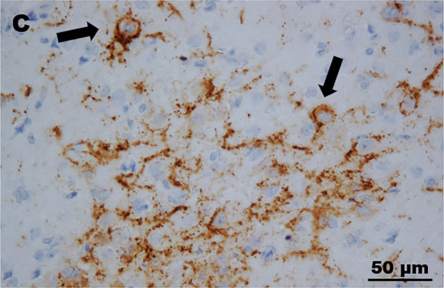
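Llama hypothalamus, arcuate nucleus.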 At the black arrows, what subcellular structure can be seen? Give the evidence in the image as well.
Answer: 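Each arrow points to a round outline stained brown around a pale centre. The outlined bodies are larger than the surrounding brown threads and puncta.
Somas.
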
